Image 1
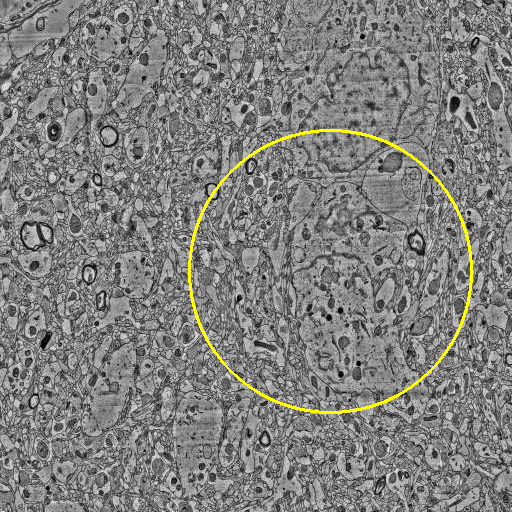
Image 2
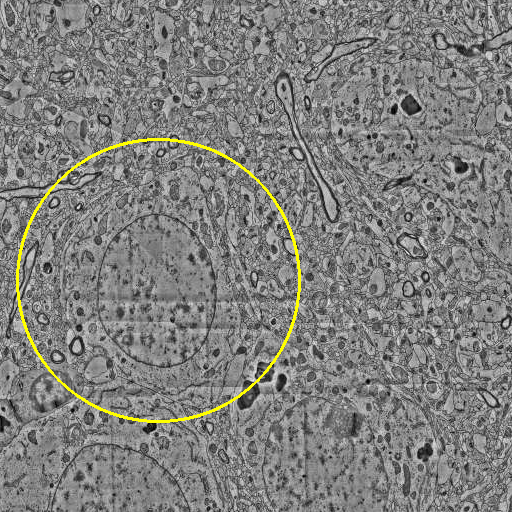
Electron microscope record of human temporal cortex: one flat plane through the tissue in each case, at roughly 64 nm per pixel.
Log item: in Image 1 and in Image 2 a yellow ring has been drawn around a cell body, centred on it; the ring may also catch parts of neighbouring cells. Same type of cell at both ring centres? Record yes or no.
yes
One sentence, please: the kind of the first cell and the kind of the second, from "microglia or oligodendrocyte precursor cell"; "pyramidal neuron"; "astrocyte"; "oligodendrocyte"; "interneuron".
Each of the ringed cells, first and second, is a pyramidal neuron.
